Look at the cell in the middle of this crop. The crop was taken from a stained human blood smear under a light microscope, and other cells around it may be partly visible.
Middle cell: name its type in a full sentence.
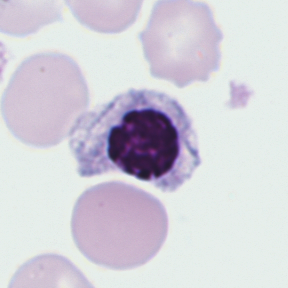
Classified as an erythroblast is the cell in the middle of this crop.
